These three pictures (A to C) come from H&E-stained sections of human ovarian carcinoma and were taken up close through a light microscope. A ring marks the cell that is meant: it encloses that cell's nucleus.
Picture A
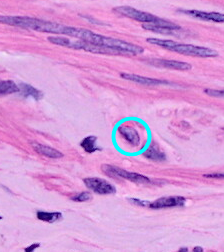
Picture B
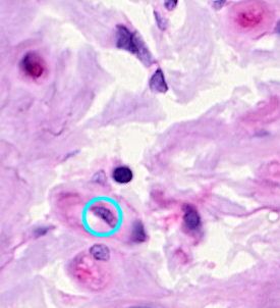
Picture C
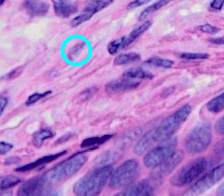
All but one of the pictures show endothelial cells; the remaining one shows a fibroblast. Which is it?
C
